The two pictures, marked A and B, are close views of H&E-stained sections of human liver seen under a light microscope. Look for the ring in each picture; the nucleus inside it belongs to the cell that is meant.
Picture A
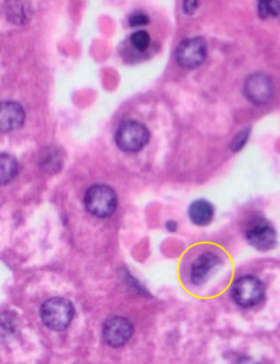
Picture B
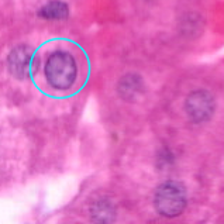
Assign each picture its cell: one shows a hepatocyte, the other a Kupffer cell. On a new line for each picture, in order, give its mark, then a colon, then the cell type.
A: Kupffer cell
B: hepatocyte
